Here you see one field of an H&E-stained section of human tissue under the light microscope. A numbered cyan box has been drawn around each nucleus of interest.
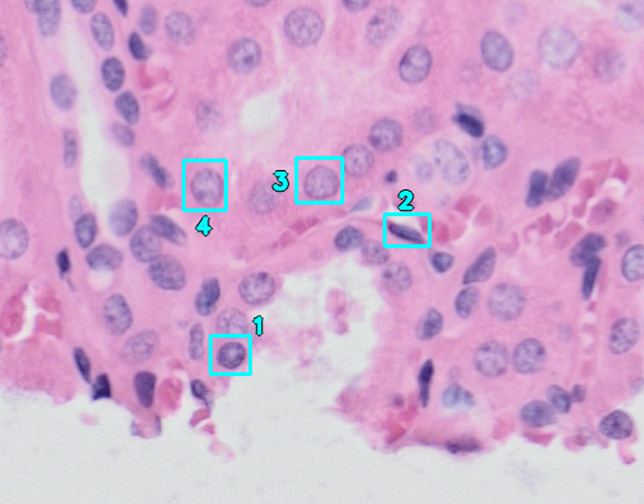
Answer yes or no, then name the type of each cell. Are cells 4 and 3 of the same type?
Yes, both of the cells numbered 4 and 3 are proximal tubule cells.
